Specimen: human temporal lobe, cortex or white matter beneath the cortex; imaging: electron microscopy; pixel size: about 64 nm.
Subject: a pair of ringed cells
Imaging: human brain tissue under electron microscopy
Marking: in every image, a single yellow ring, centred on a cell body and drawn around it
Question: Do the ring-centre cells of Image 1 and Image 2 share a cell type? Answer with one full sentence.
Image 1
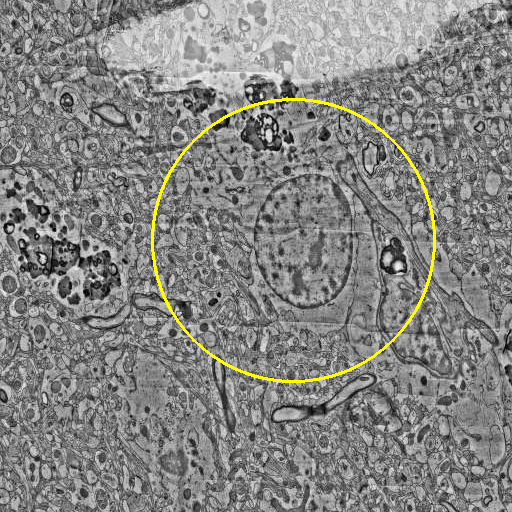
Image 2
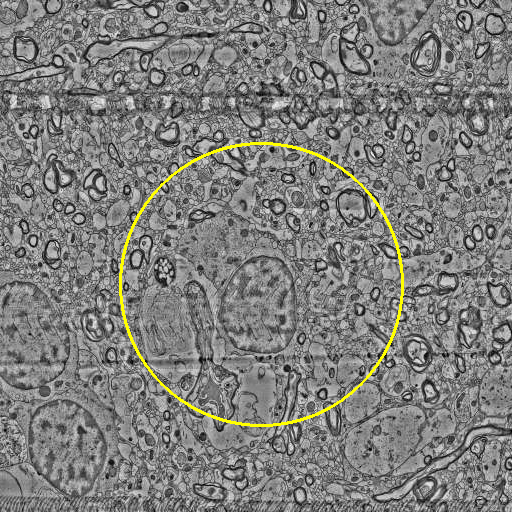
No, at the ring centres in the images sit cells of two separate types.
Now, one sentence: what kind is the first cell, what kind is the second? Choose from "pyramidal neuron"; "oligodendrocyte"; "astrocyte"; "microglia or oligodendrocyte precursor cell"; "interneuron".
The first picture has an astrocyte at its ring centre, and the second has an oligodendrocyte.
